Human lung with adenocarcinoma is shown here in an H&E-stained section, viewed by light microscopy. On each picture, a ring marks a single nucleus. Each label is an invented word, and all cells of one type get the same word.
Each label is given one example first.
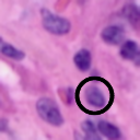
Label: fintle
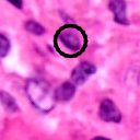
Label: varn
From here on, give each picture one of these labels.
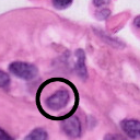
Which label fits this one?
fintle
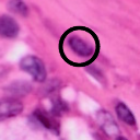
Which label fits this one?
varn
